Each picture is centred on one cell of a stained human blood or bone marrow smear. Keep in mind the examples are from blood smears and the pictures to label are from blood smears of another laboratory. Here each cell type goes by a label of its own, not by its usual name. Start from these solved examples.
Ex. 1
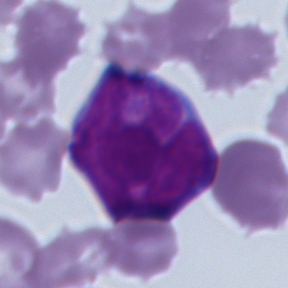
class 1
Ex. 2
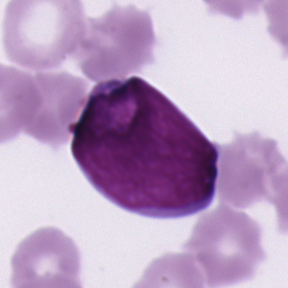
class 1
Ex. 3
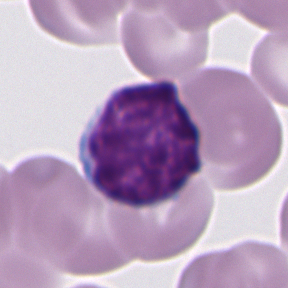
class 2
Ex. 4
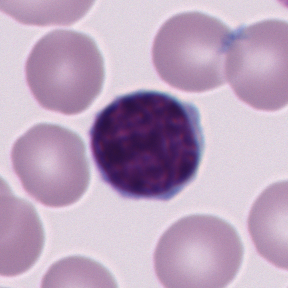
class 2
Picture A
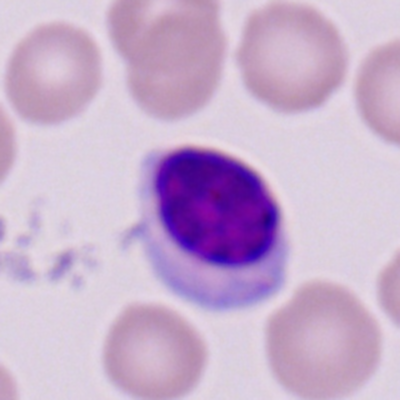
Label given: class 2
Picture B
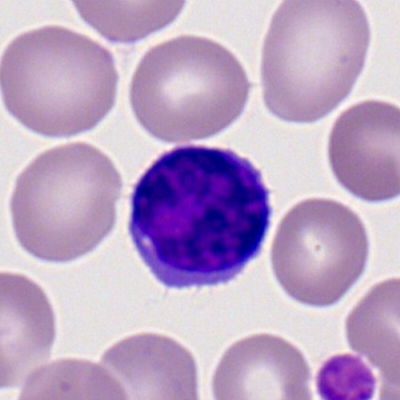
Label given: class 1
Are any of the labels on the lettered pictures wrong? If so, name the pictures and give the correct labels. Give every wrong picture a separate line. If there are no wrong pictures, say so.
B: class 2, not class 1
